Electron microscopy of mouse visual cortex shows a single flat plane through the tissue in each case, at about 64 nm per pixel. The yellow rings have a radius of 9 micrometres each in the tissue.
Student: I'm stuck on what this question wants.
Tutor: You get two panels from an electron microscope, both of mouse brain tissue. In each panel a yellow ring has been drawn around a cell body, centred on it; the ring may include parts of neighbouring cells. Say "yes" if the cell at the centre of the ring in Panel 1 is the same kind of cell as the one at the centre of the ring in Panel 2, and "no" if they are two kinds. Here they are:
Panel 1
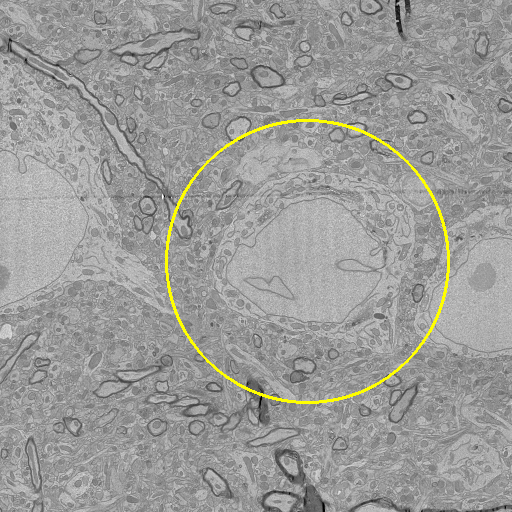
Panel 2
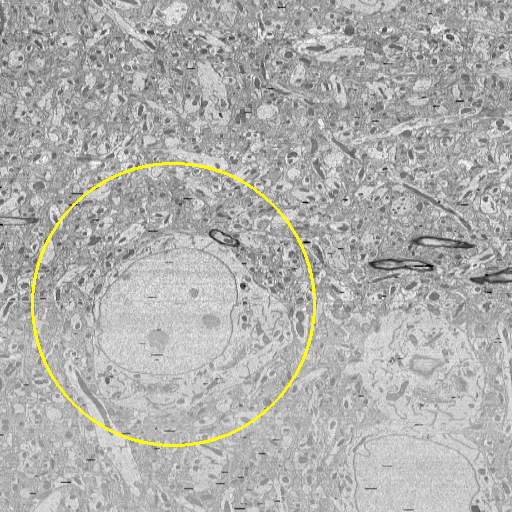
no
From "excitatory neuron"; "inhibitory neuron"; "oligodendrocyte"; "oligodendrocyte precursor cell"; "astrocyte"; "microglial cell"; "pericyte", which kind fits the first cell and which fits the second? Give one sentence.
The cell marked in the first picture is an inhibitory neuron, and the one marked in the second is an excitatory neuron.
